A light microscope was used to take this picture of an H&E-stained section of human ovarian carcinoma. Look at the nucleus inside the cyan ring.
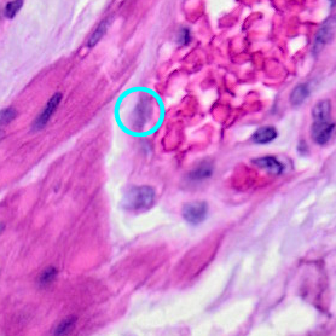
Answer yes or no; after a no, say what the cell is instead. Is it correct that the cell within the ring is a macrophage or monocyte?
No, it is an endothelial cell.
